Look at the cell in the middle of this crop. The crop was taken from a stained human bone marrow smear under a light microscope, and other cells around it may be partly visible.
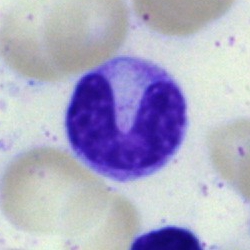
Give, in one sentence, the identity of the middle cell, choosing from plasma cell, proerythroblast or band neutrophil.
The central cell, amid any neighbouring cells, is a band neutrophil.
